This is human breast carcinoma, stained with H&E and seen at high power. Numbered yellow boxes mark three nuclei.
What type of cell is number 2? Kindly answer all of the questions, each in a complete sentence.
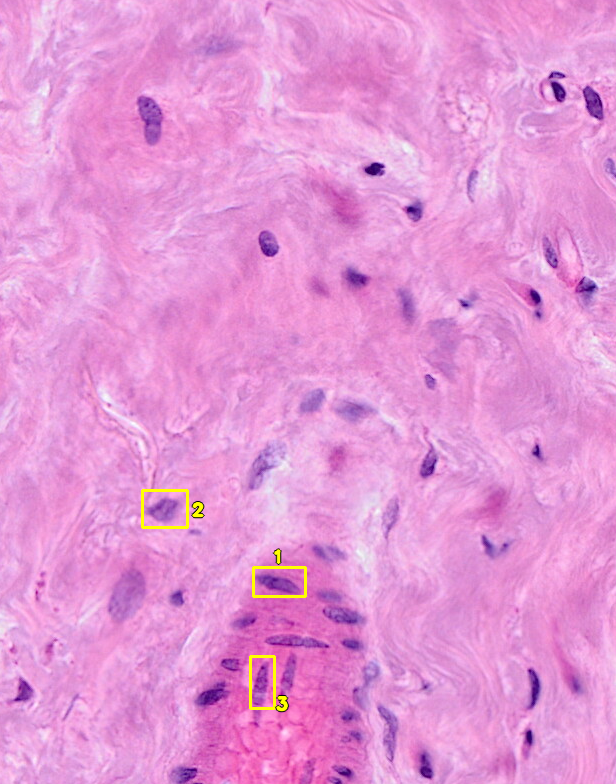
Number 2 is placed on a fibroblast here.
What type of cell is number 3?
Belonging to an endothelial cell is the nucleus that carries the number 3.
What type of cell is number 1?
Cell number 1 in this section is an endothelial cell.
